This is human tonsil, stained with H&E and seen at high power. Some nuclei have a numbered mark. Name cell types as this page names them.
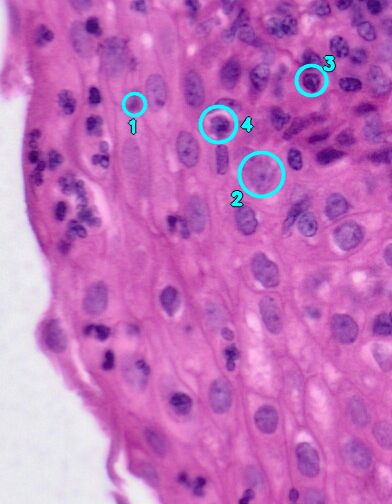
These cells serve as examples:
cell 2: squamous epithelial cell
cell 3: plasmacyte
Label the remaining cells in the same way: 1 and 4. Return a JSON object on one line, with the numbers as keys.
{"1": "squamous epithelial cell", "4": "squamous epithelial cell"}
